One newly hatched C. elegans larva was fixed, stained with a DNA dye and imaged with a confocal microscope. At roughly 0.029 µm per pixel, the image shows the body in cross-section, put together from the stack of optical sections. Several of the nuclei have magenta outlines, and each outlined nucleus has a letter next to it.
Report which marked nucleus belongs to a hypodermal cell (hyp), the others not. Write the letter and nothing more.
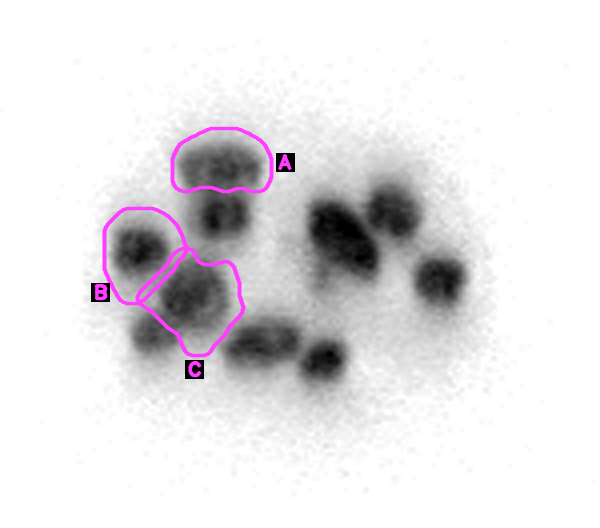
A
